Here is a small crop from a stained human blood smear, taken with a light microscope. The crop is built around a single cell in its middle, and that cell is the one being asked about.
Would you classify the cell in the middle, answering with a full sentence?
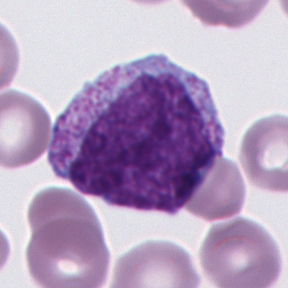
The crop centres on a single cell, and that cell is an atypical promyelocyte.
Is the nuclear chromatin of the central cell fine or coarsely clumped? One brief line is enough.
Its nuclear chromatin is gathered into coarse clumps.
